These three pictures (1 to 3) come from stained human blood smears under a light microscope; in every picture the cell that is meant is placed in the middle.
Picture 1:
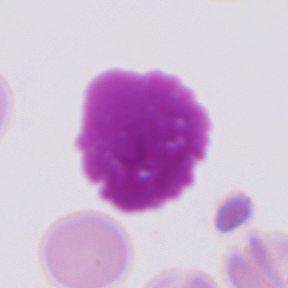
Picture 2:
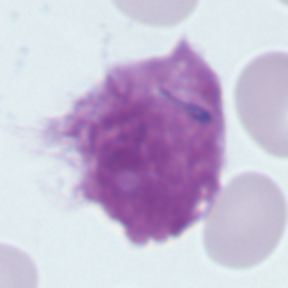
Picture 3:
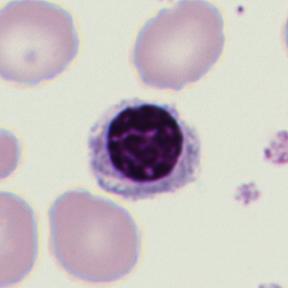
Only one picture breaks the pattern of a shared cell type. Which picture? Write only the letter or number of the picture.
3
